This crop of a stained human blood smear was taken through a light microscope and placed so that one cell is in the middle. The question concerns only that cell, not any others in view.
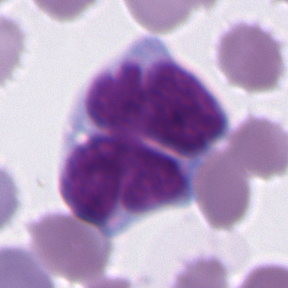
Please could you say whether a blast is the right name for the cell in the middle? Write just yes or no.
no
